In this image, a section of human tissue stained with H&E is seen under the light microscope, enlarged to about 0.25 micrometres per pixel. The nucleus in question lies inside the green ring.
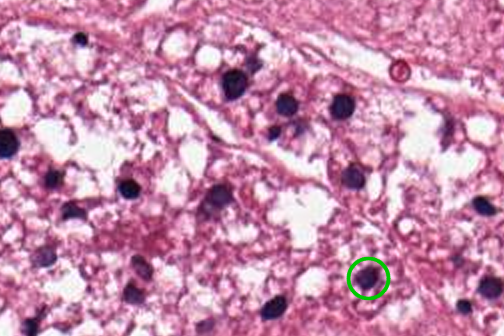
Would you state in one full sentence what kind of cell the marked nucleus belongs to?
The marked nucleus is housed in an adrenal cortical cell.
